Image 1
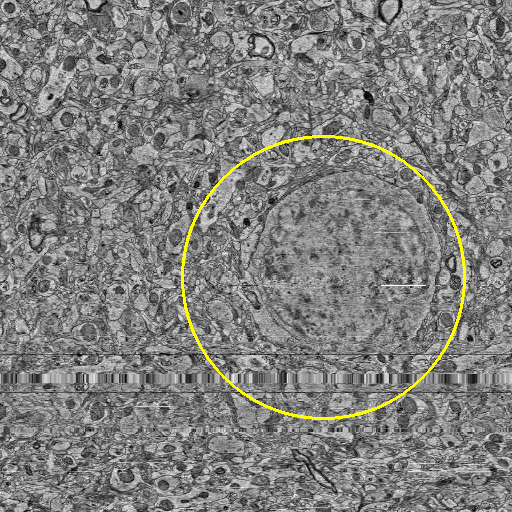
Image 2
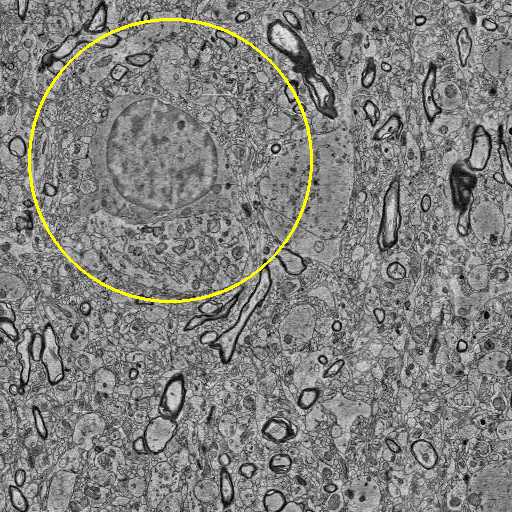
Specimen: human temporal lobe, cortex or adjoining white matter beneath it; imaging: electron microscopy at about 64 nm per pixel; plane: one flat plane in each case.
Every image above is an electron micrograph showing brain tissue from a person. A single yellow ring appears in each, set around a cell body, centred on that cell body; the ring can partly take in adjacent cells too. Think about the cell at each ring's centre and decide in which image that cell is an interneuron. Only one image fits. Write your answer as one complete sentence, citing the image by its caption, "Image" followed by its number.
Image 1 is the one whose ringed central cell fits the description.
